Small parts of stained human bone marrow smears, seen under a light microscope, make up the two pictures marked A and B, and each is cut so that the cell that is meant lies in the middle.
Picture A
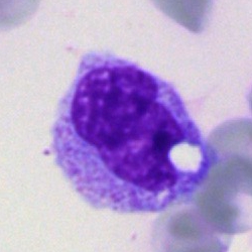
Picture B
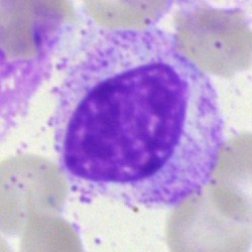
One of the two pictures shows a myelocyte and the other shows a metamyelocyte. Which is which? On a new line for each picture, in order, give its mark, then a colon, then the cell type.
A: metamyelocyte
B: myelocyte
